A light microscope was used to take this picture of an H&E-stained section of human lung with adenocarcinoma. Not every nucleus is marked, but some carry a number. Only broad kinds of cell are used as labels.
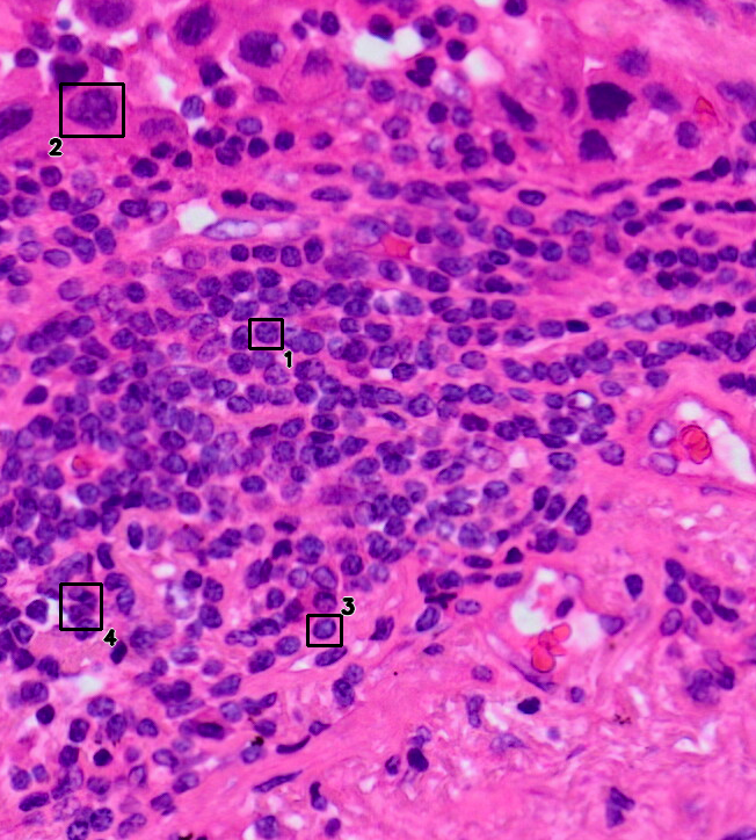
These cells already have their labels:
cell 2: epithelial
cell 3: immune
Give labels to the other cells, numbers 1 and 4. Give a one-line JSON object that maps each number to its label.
{"1": "immune", "4": "immune"}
